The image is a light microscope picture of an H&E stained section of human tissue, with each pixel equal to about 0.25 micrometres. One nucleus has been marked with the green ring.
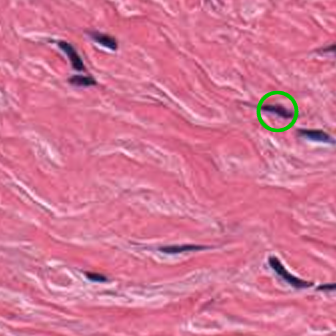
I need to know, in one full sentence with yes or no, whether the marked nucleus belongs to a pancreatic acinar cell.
No, the cell whose nucleus is marked is a supporting cell and not a pancreatic acinar cell.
